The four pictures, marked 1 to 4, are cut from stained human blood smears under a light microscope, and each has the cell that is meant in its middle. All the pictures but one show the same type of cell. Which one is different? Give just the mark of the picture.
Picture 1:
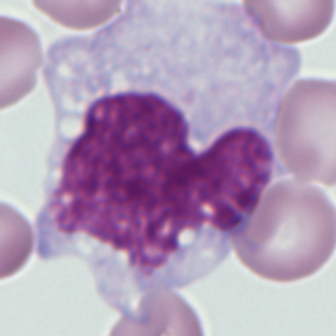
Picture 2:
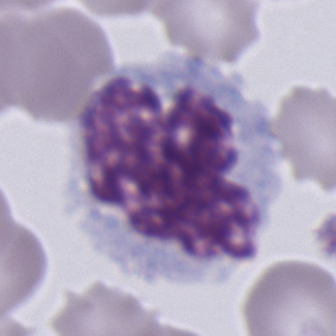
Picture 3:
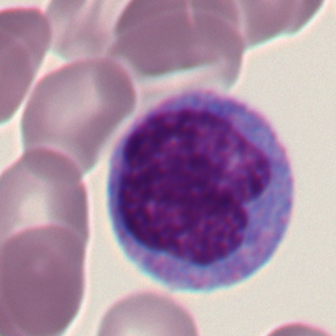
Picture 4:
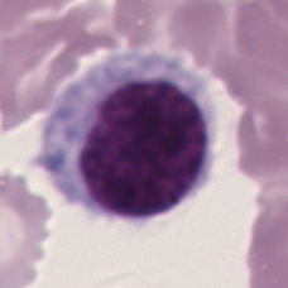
4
